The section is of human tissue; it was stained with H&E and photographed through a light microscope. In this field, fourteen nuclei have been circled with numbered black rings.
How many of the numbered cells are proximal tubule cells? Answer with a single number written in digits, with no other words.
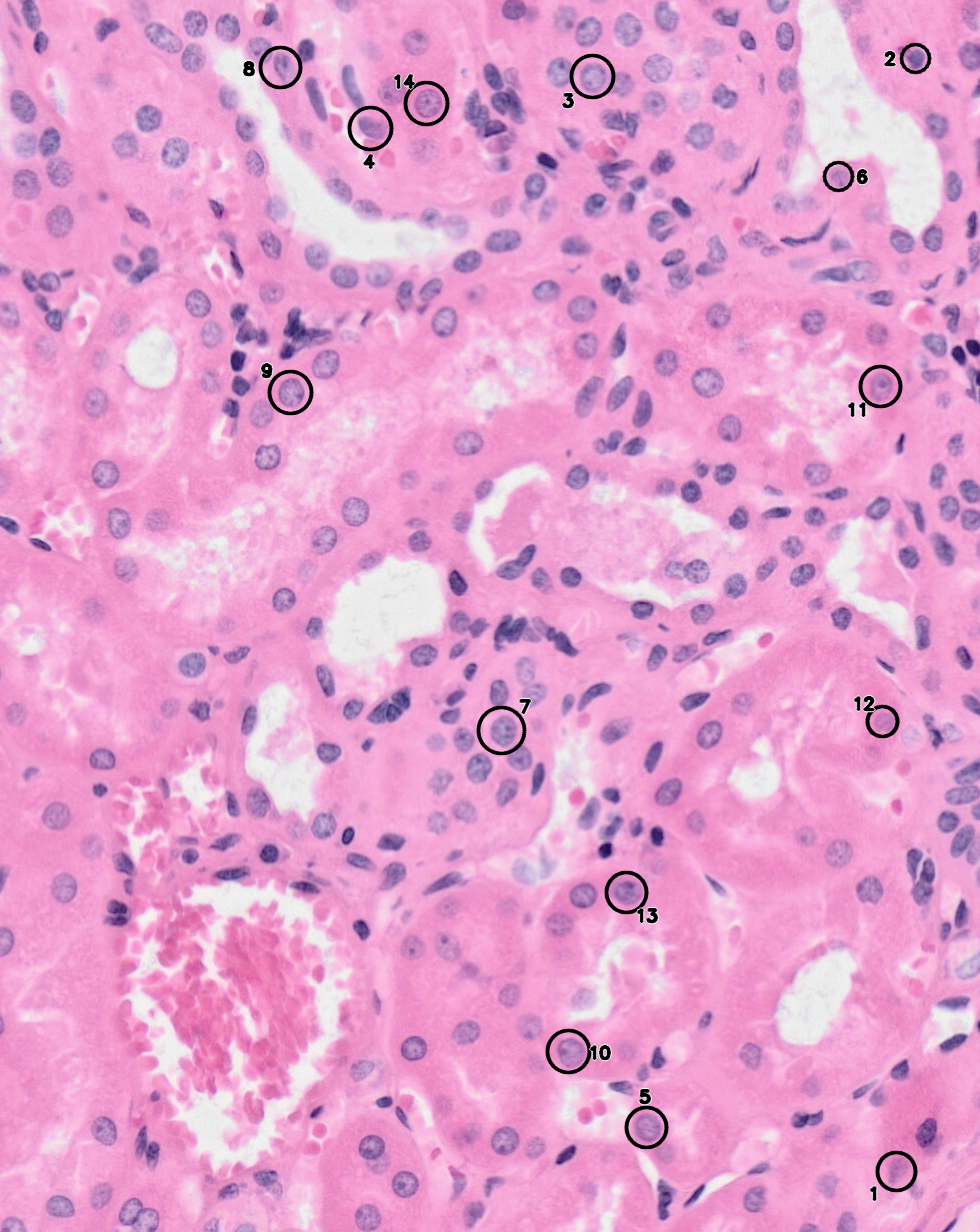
8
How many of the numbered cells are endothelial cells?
2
